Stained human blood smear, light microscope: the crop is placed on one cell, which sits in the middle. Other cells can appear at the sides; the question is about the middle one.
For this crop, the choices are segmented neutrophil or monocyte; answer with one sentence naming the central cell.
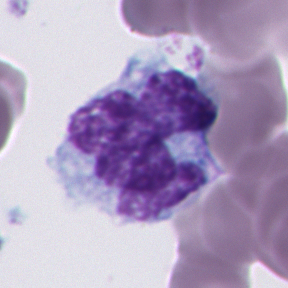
Present in the middle of the crop is a monocyte.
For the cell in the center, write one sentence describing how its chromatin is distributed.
One feature to record is coarsely clumped chromatin.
